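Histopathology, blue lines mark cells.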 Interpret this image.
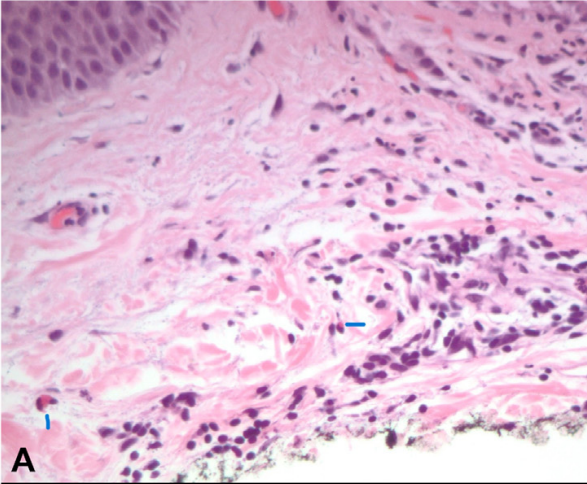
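This is the upper dermis beneath the epidermis, with pink collagen bundles and small vessels containing red blood cells. An inflammatory infiltrate of cells with dark nuclei gathers around the vessels and across the lower field. Among them are scattered cells with bright red-pink cytoplasm, consistent with eosinophils, two of which are marked.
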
